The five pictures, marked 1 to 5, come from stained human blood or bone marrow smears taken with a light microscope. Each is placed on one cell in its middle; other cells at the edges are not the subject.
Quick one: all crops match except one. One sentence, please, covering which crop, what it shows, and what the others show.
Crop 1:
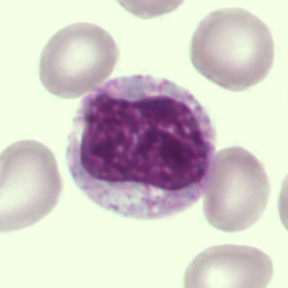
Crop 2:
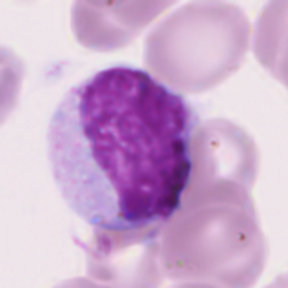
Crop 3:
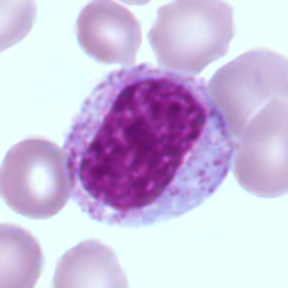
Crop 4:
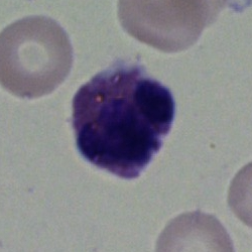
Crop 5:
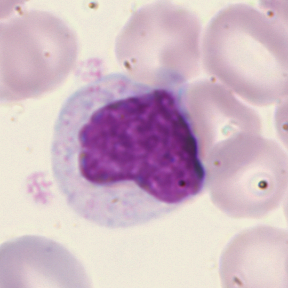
Apart from crop 4, which shows an eosinophil, every crop shows metamyelocytes.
